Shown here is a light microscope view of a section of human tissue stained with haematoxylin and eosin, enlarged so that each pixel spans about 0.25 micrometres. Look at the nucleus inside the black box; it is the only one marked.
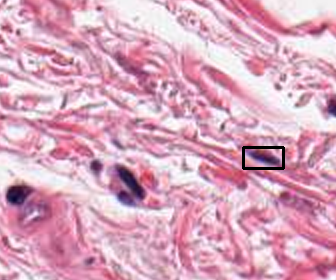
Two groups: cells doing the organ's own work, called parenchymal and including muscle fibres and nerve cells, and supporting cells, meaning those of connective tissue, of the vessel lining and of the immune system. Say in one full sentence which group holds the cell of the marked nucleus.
A supporting cell is the cell in which the marked nucleus is found.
